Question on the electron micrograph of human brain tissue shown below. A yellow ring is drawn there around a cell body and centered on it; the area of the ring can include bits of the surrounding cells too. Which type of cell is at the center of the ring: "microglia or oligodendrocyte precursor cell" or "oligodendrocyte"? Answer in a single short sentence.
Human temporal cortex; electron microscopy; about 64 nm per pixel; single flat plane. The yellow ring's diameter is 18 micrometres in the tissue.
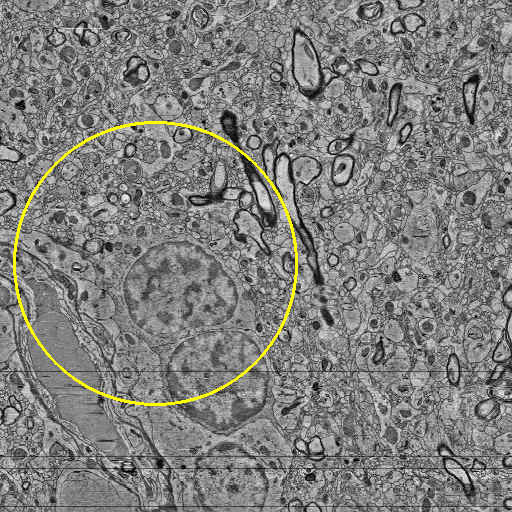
The ring is centered on an oligodendrocyte.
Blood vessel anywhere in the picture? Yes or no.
Yes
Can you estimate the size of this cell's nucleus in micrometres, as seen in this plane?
In this plane, the nucleus measures approximately 7 micrometres across.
